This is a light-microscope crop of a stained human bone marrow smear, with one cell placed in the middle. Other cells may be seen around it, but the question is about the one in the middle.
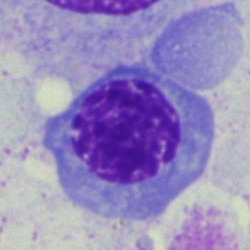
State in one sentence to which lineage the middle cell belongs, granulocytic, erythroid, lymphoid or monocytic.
The correct lineage for the cell at the center is the erythroid one.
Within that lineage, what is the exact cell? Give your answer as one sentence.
The single cell at the center of the crop is an erythroblast.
